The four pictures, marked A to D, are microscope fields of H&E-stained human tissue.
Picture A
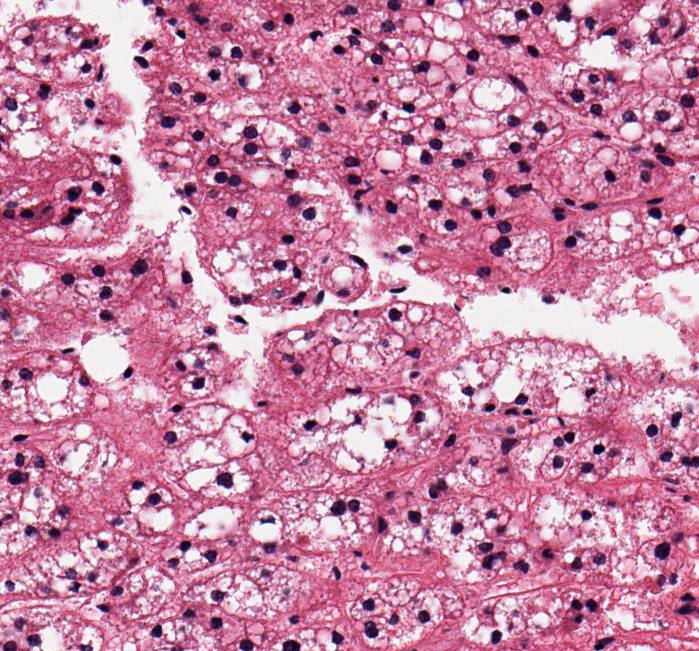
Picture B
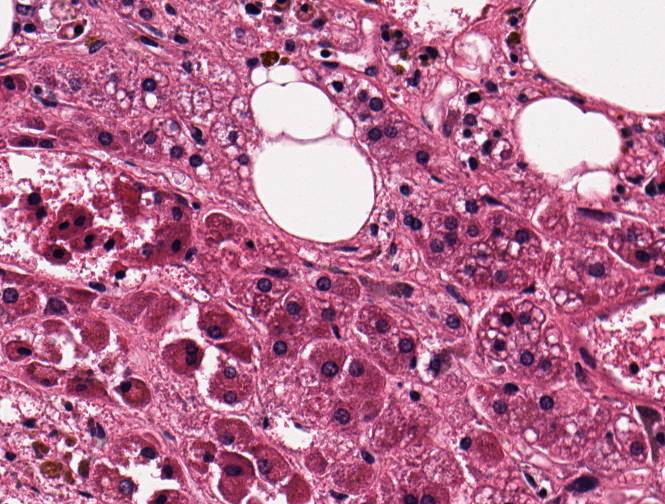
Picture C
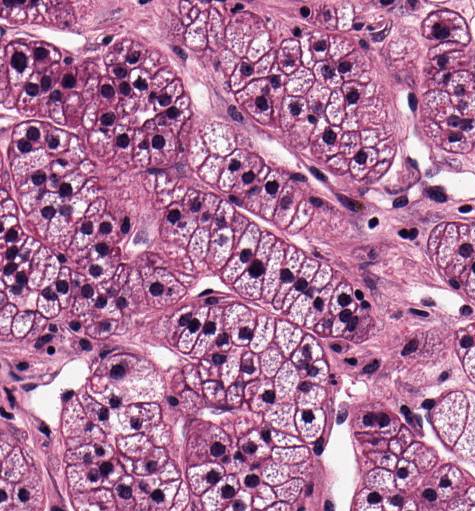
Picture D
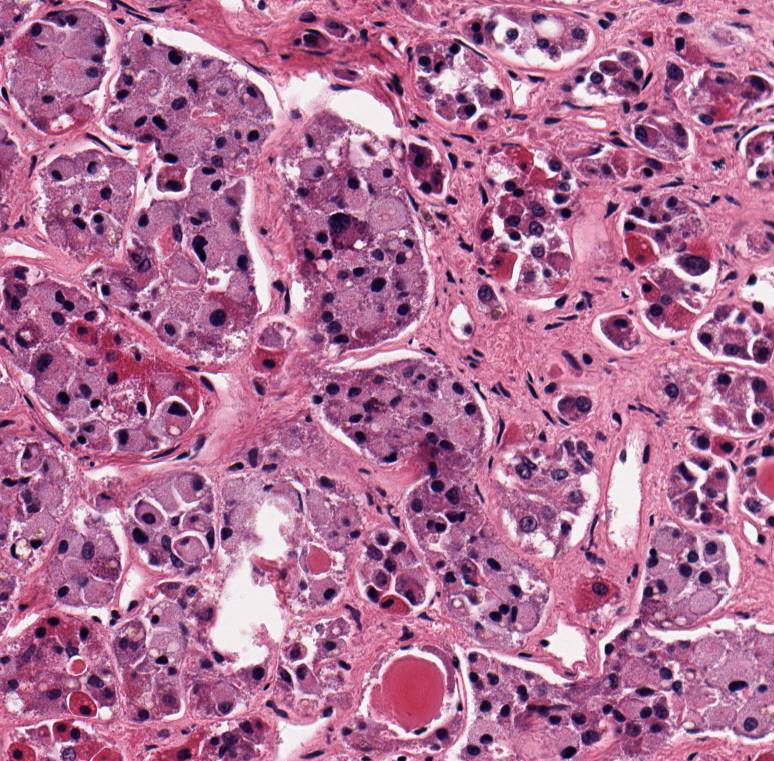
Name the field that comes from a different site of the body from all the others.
D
